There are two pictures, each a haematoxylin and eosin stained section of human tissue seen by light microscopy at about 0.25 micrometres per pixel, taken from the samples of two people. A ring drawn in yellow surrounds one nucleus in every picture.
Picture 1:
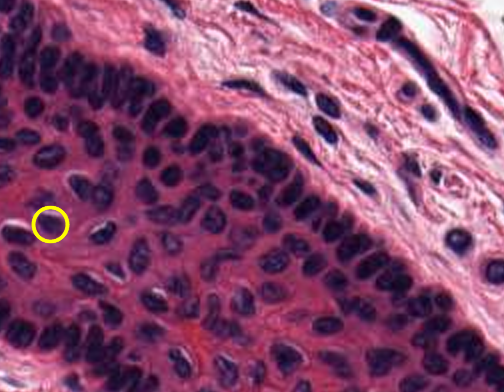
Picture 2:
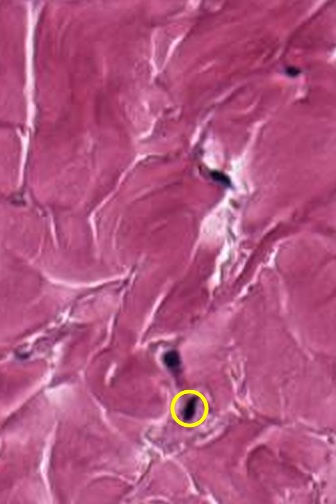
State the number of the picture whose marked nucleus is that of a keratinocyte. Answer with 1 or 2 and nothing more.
1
